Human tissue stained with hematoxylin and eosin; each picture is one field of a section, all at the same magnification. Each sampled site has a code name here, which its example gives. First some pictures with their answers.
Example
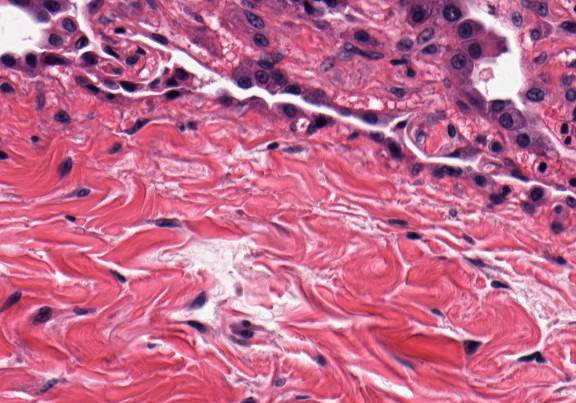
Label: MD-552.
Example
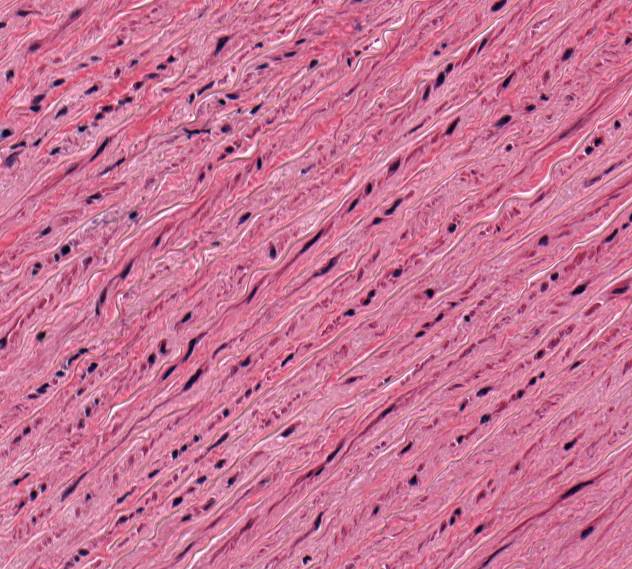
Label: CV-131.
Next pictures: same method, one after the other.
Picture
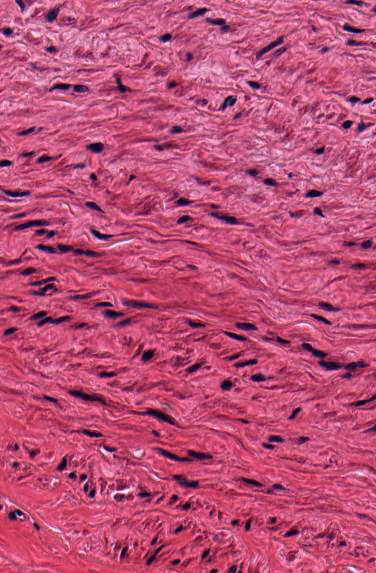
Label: CV-131.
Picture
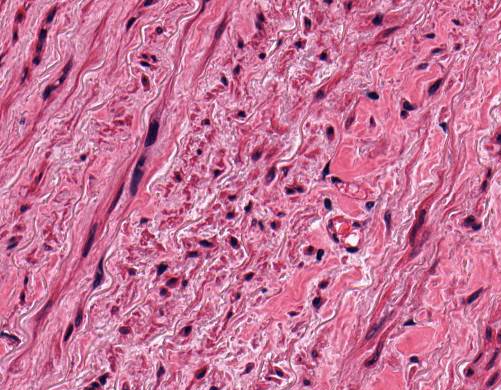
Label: CV-131.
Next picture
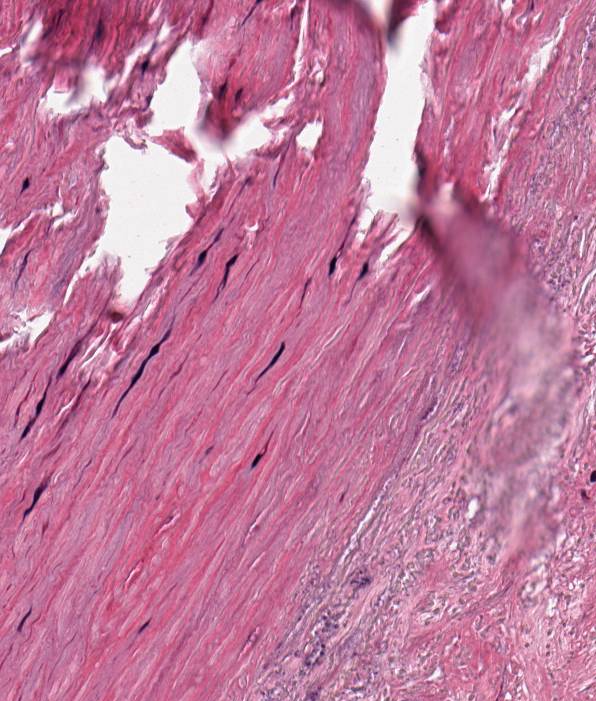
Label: CV-131.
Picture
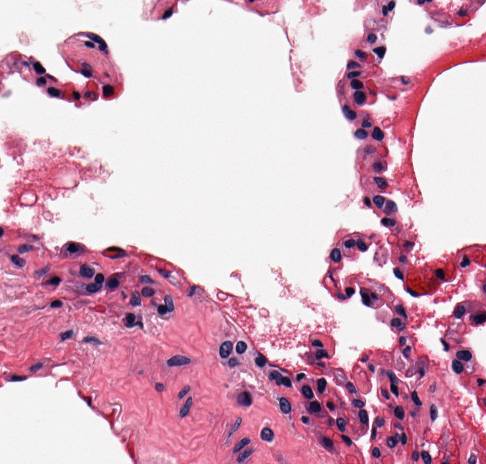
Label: MD-552.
